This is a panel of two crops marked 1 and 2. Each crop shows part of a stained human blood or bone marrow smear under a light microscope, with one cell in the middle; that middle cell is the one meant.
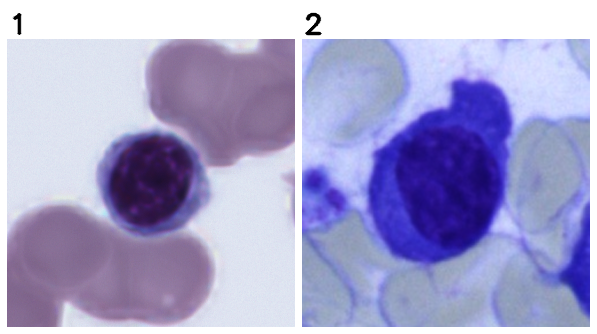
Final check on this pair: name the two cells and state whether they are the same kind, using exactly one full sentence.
Yes, the cells under consideration in both crops are plasma cells.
